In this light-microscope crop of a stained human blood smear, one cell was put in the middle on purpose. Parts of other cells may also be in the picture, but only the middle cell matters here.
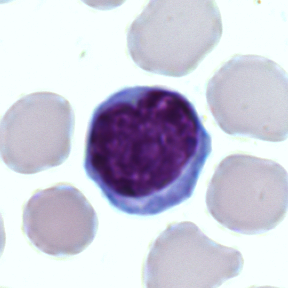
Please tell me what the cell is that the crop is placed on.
plasma cell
